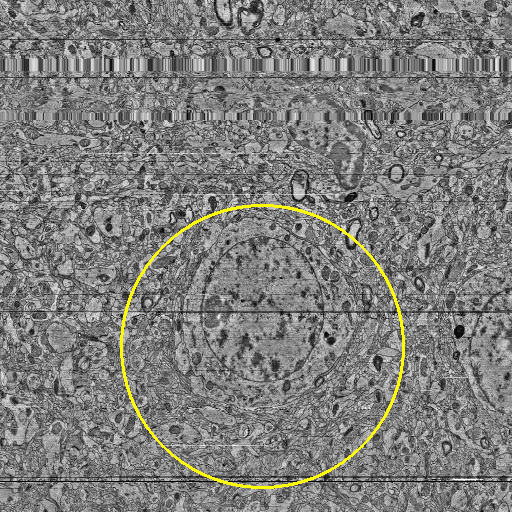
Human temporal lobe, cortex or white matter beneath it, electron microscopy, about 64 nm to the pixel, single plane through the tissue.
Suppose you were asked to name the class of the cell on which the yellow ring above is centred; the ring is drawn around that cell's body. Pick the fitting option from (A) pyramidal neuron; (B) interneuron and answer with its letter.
A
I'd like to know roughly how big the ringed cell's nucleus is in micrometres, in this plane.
The ringed cell's nucleus is about 10 micrometres long and 8 micrometres wide in this plane.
